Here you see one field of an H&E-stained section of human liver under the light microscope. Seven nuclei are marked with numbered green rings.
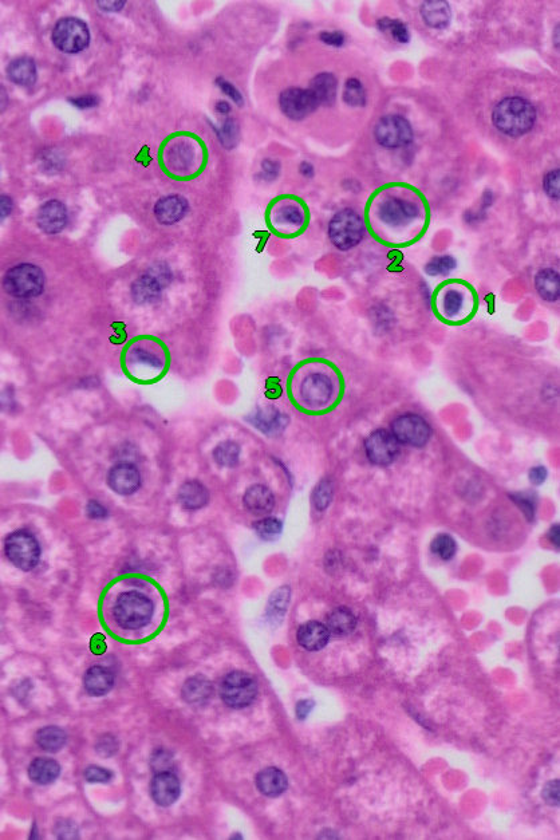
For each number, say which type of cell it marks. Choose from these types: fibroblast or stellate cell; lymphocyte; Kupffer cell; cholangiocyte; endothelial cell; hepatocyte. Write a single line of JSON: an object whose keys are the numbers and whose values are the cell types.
{"1": "lymphocyte", "2": "endothelial cell", "3": "endothelial cell", "4": "hepatocyte", "5": "hepatocyte", "6": "hepatocyte", "7": "fibroblast or stellate cell"}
